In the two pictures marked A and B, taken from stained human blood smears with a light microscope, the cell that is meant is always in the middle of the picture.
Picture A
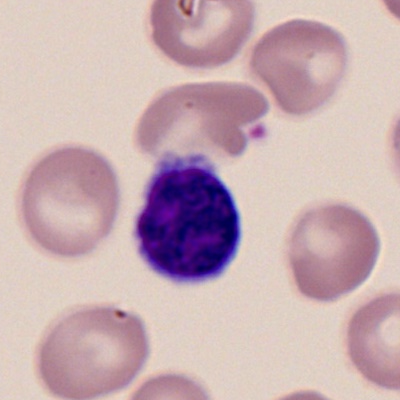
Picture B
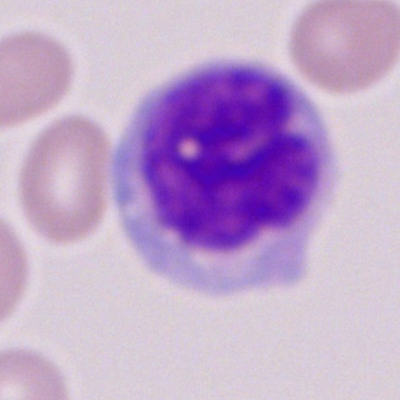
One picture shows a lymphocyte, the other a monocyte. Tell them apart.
A: lymphocyte
B: monocyte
